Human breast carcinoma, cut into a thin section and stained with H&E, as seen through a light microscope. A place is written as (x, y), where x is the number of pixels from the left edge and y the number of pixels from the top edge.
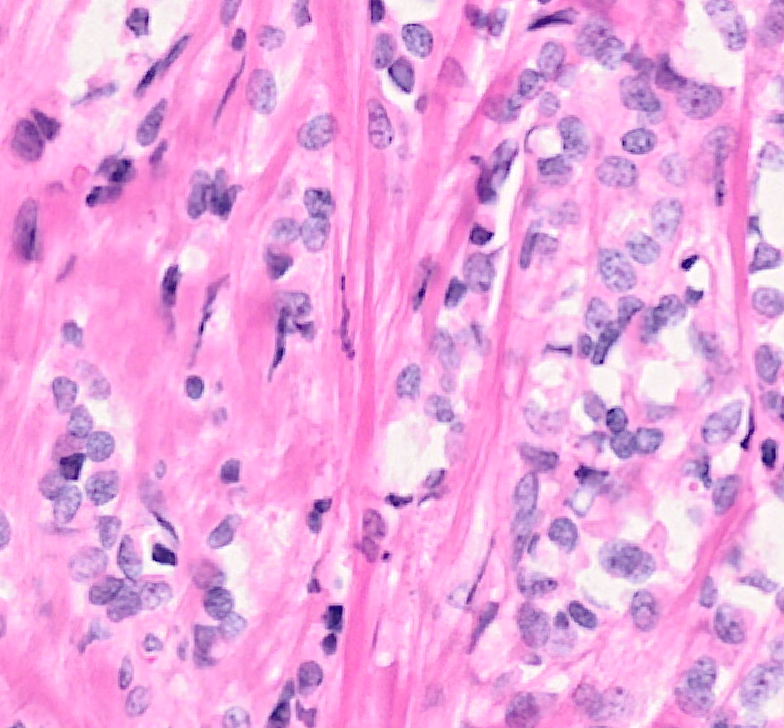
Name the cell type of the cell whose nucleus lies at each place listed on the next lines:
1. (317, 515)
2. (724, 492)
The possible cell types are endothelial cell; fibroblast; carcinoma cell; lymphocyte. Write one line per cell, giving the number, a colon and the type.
1: lymphocyte
2: carcinoma cell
